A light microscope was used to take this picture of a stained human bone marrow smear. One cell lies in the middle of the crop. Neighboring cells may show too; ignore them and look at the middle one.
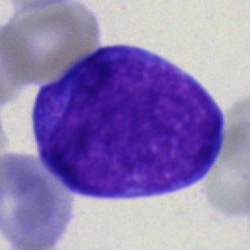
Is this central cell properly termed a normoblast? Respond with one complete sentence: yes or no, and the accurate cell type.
No, the centre cell counts as a blast, not as a normoblast.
